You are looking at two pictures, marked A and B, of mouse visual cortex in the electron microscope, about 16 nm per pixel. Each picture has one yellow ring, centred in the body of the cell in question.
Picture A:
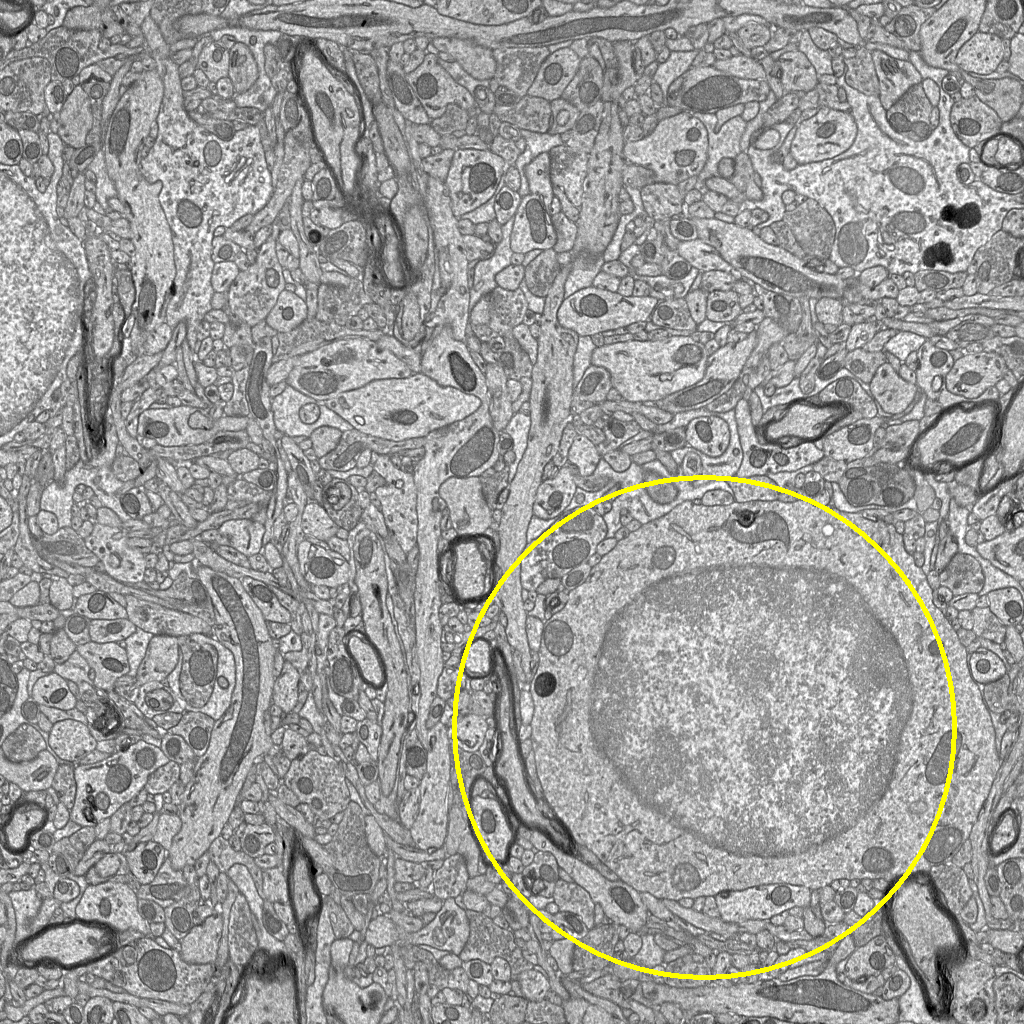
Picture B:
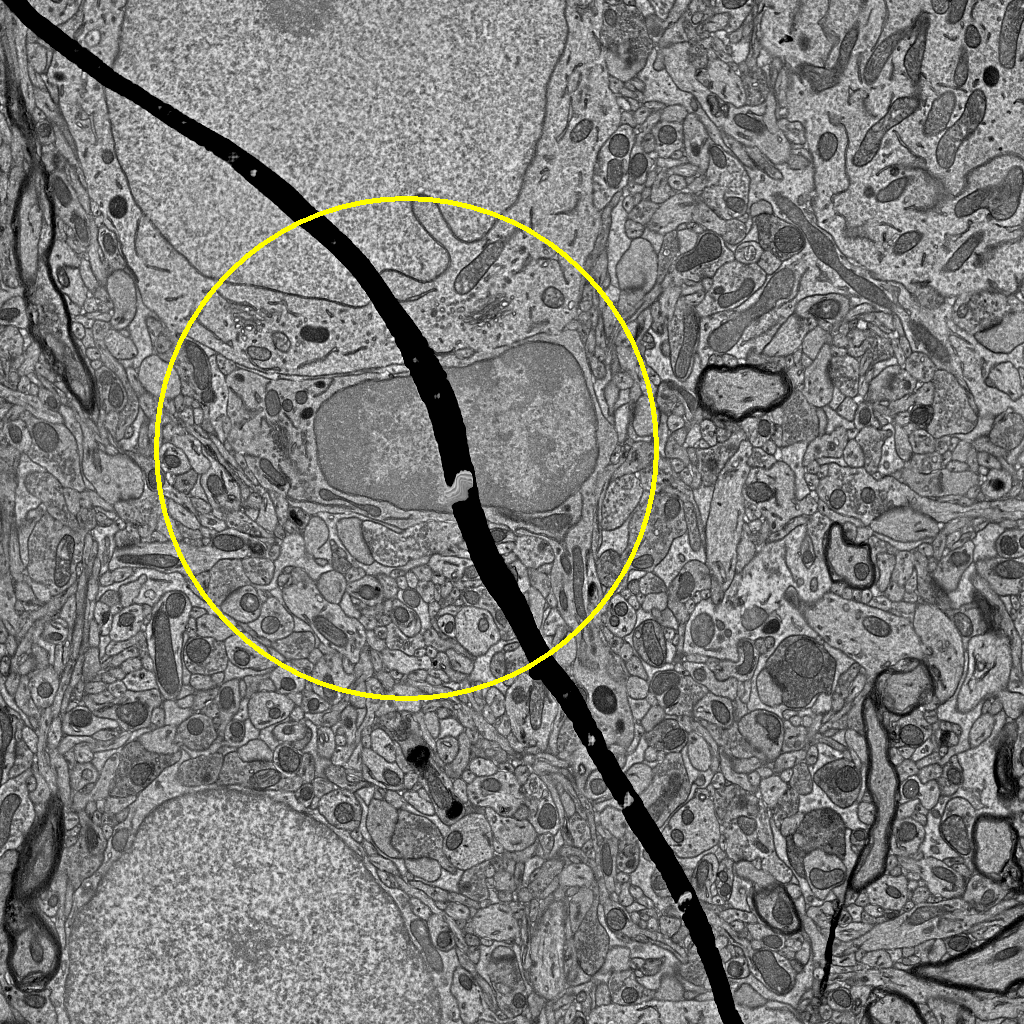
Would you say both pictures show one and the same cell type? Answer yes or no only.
no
